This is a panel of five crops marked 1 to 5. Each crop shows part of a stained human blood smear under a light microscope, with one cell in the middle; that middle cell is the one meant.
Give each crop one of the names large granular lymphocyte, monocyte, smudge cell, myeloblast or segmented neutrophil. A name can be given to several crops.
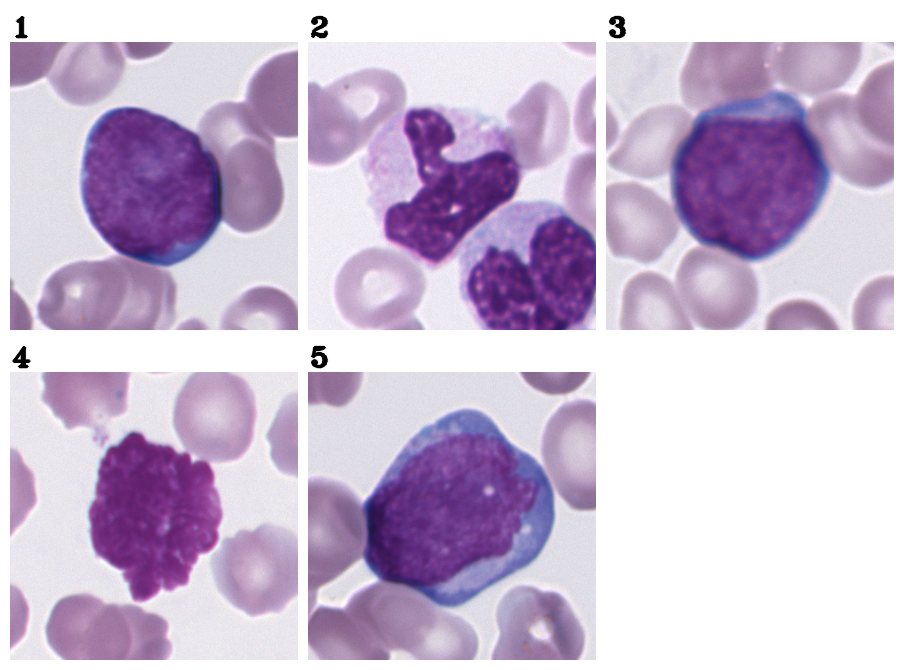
1: myeloblast
2: segmented neutrophil
3: myeloblast
4: smudge cell
5: myeloblast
